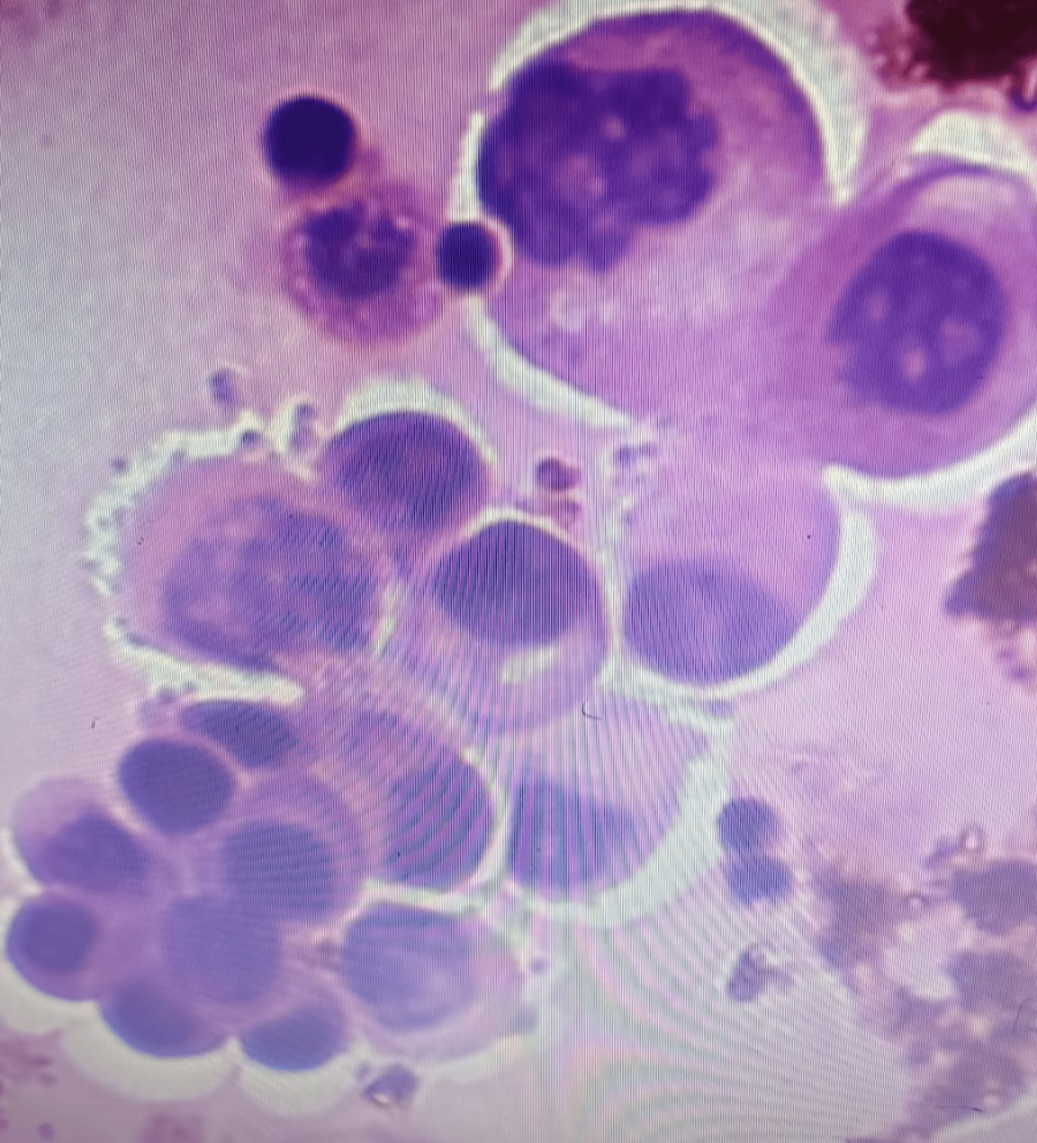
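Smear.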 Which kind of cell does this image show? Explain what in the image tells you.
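Malignant cells. A crowded cluster of large, overlapping cells with purple nuclei. The nuclei are large relative to the cells and vary in size. The two large cells at the top right have coarse, clumped chromatin with pale spots inside the nuclei.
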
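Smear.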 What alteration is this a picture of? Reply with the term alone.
high nuclear-to-cytoplasmic ratio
